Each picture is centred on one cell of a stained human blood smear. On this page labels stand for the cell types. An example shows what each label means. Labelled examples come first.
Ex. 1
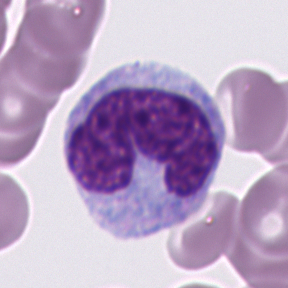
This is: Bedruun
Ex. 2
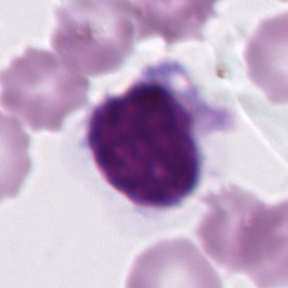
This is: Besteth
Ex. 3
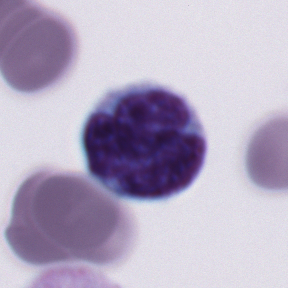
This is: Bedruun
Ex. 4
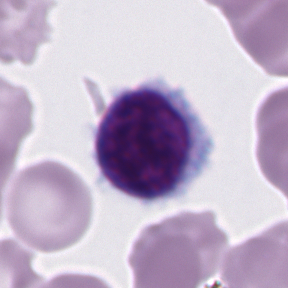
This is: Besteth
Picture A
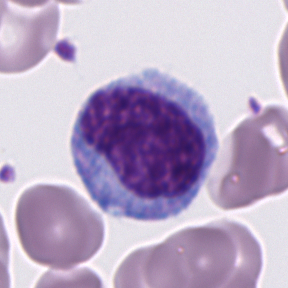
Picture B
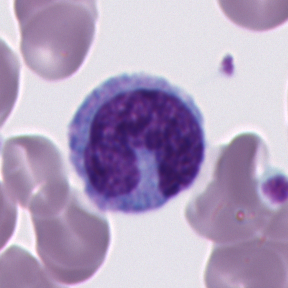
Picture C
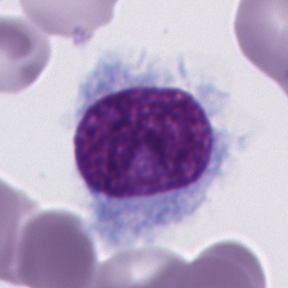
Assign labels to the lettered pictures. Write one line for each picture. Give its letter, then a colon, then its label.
A: Bedruun
B: Bedruun
C: Besteth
